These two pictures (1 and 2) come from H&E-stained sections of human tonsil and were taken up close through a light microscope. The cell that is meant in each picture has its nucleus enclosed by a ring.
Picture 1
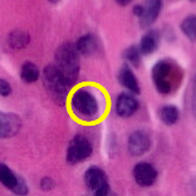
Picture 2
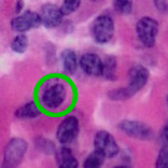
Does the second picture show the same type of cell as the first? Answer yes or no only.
yes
